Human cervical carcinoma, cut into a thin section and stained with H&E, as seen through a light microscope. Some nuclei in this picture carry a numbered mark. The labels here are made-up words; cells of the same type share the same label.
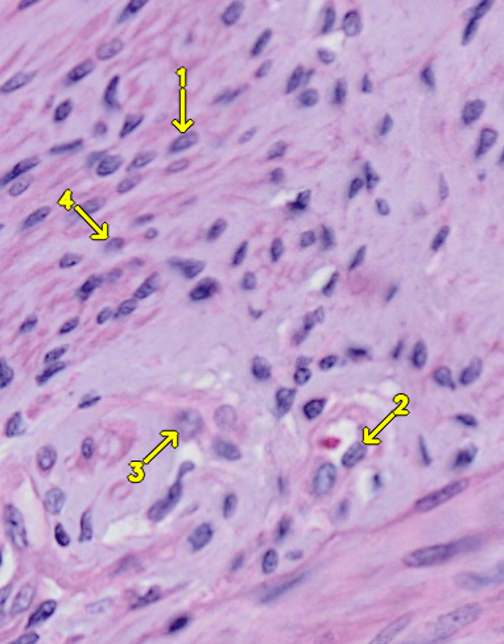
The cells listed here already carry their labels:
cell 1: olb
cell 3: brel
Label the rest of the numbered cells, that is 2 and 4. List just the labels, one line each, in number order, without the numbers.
brel
olb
